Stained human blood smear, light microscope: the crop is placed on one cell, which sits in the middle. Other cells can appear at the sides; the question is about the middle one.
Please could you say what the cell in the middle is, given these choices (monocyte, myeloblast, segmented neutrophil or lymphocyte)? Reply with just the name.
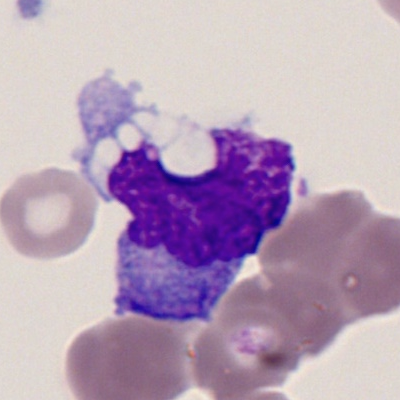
monocyte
